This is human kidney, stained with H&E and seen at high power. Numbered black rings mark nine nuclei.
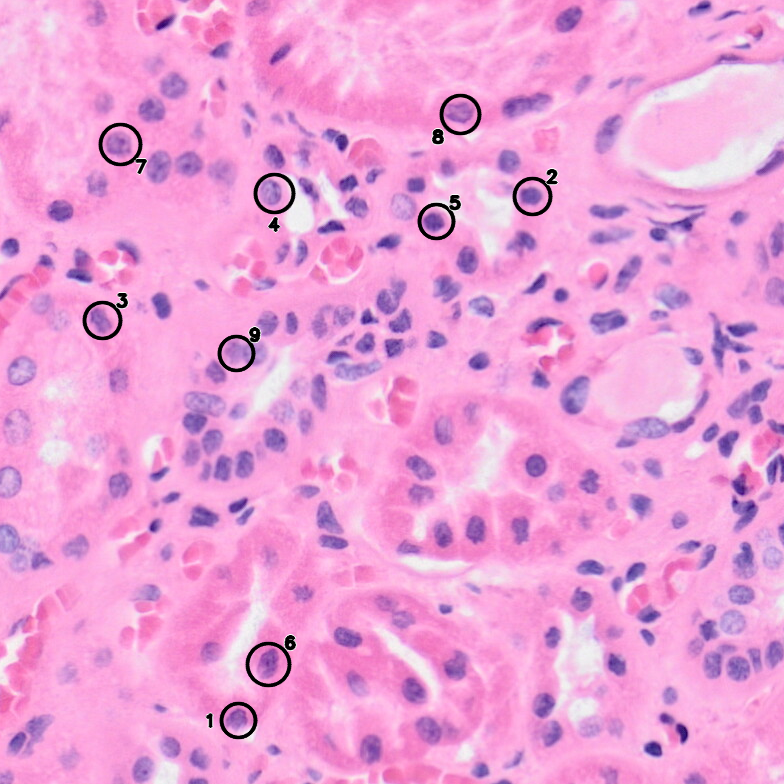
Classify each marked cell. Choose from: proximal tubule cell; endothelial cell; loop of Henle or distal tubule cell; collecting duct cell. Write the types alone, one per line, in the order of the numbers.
proximal tubule cell
loop of Henle or distal tubule cell
proximal tubule cell
loop of Henle or distal tubule cell
loop of Henle or distal tubule cell
proximal tubule cell
proximal tubule cell
proximal tubule cell
collecting duct cell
